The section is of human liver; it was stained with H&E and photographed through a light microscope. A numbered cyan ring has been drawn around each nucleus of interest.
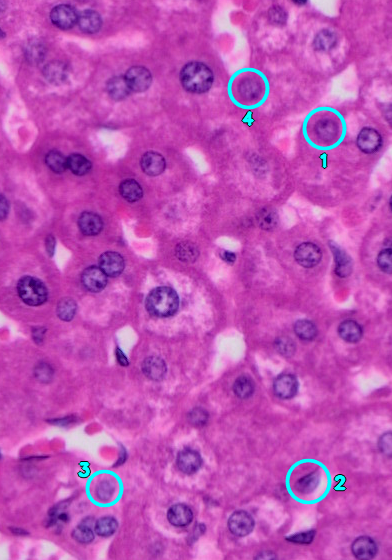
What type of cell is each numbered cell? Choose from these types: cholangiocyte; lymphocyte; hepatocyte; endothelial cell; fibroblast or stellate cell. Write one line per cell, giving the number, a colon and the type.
1: hepatocyte
2: endothelial cell
3: cholangiocyte
4: hepatocyte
